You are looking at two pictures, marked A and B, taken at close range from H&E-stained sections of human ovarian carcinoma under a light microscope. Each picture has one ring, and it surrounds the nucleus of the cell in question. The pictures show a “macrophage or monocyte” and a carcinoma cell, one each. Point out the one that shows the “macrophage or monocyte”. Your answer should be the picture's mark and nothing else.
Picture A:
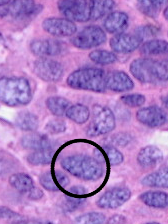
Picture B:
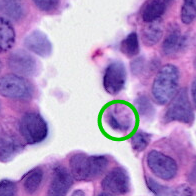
B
